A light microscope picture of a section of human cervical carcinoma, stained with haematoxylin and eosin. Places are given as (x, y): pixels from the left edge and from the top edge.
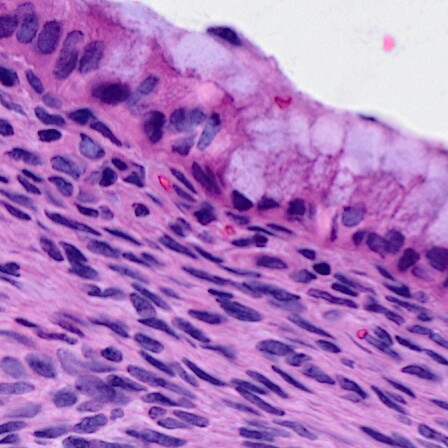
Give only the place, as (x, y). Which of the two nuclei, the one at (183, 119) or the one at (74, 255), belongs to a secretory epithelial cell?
(183, 119)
